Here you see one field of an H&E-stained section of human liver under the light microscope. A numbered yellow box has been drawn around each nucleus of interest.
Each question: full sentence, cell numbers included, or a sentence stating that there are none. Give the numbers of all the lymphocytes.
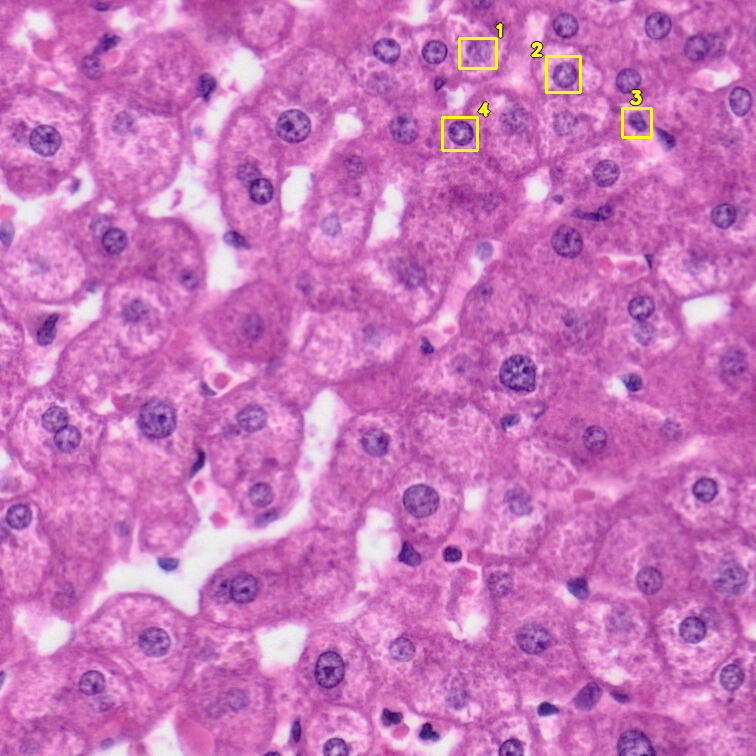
Of the numbered cells, only cell 3 is a lymphocyte.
